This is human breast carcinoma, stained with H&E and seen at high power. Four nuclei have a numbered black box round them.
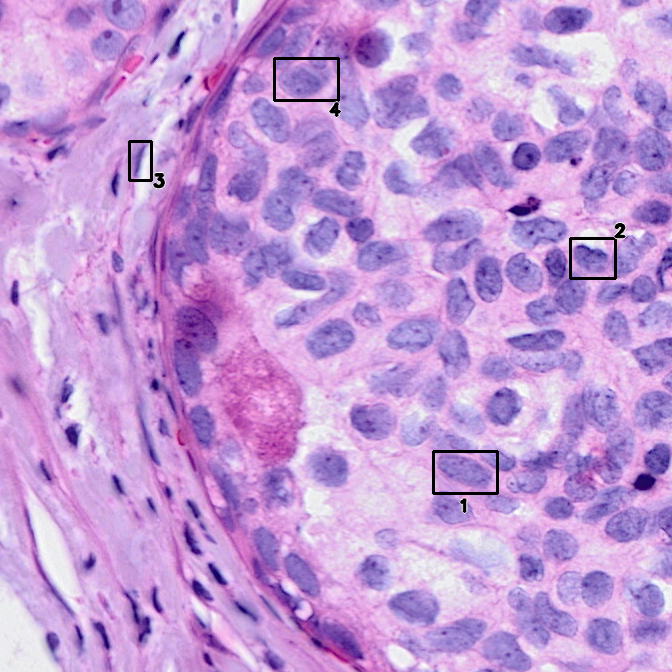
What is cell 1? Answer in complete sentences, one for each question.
The cell that is numbered 1 is a carcinoma cell.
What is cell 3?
Cell 3, among those numbered, is a fibroblast.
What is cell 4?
As for number 4, that cell is a carcinoma cell.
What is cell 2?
Here the cell numbered 2 is a carcinoma cell.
